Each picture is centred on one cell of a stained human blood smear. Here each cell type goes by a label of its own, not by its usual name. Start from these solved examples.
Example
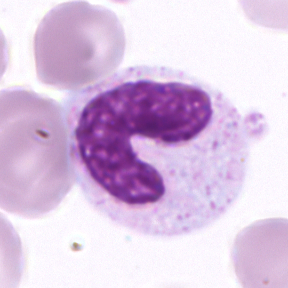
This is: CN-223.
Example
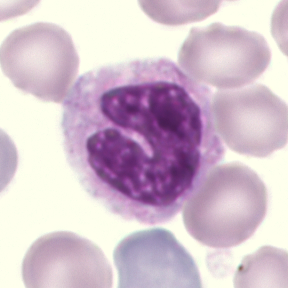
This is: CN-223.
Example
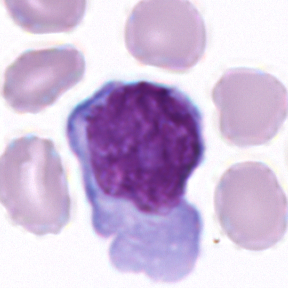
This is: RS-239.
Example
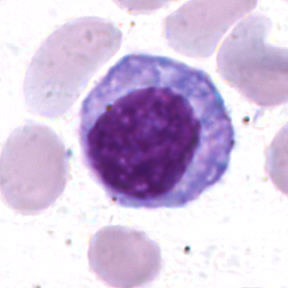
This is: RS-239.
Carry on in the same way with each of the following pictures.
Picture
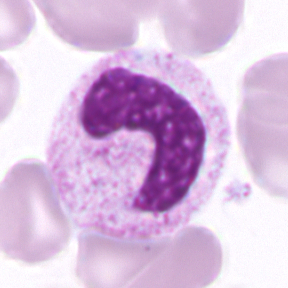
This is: CN-223.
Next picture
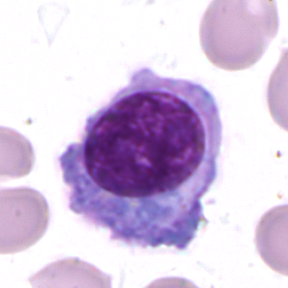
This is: RS-239.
